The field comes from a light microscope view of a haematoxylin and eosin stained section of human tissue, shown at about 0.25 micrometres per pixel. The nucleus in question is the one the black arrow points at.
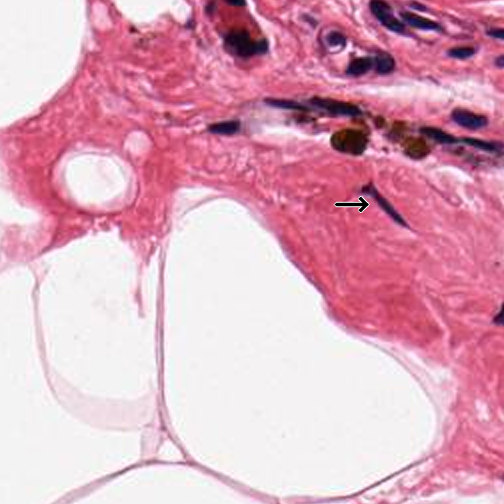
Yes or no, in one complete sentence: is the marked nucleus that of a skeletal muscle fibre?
No, it is to a supporting cell that the marked nucleus belongs, not to a skeletal muscle fibre.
